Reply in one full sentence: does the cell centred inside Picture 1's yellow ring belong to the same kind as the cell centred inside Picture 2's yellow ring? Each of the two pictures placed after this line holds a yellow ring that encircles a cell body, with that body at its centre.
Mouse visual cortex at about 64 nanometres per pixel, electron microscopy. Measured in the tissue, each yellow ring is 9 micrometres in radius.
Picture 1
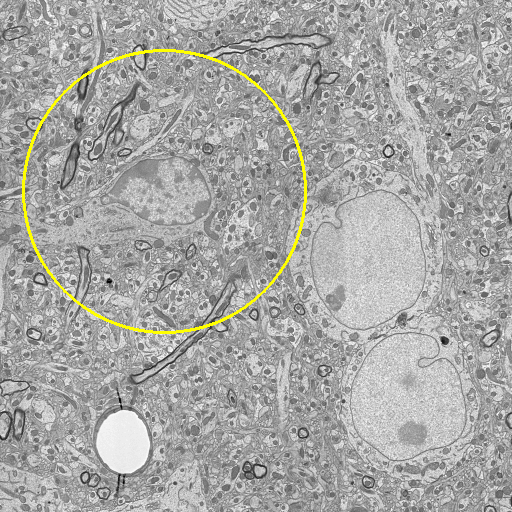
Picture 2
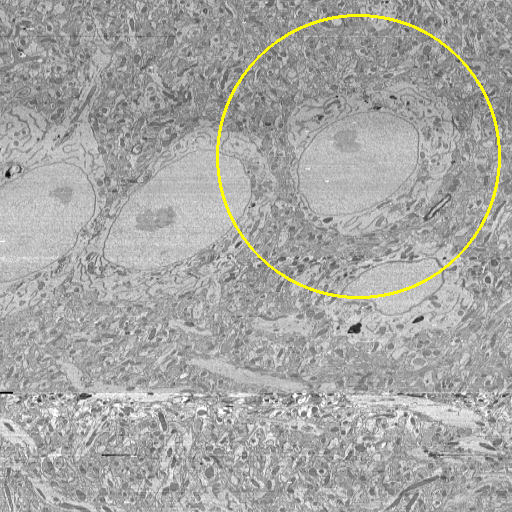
No, the ring-centred cells in Picture 1 and Picture 2 are of two separate kinds.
